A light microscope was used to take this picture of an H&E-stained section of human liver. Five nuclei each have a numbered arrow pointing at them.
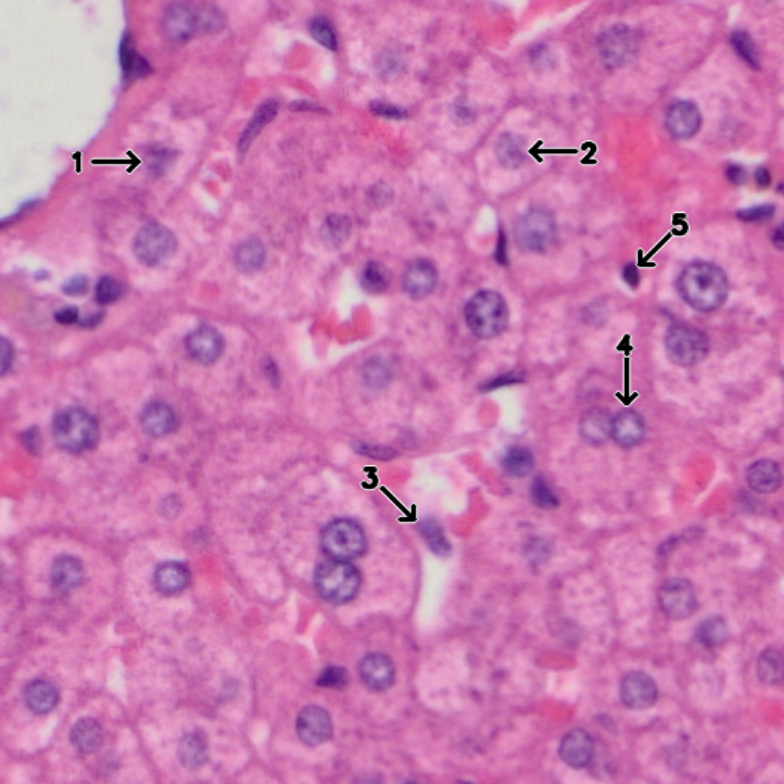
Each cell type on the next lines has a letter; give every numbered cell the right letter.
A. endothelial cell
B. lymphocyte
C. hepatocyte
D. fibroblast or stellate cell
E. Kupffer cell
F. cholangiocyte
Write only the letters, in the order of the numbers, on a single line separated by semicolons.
C; C; E; C; B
